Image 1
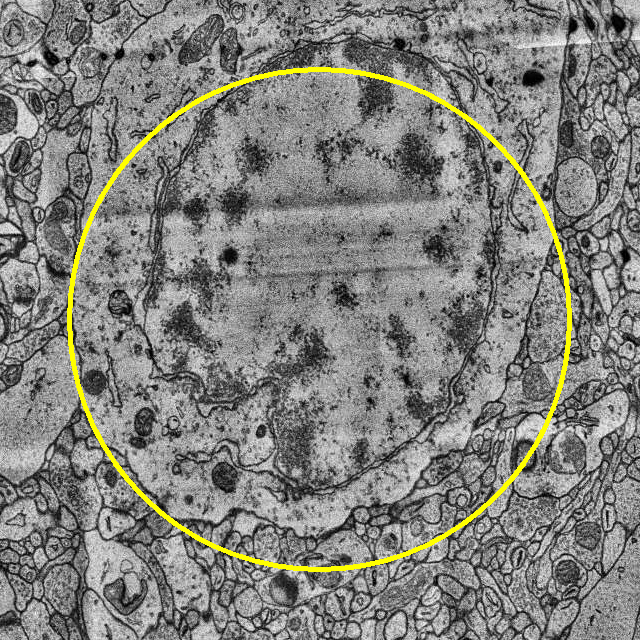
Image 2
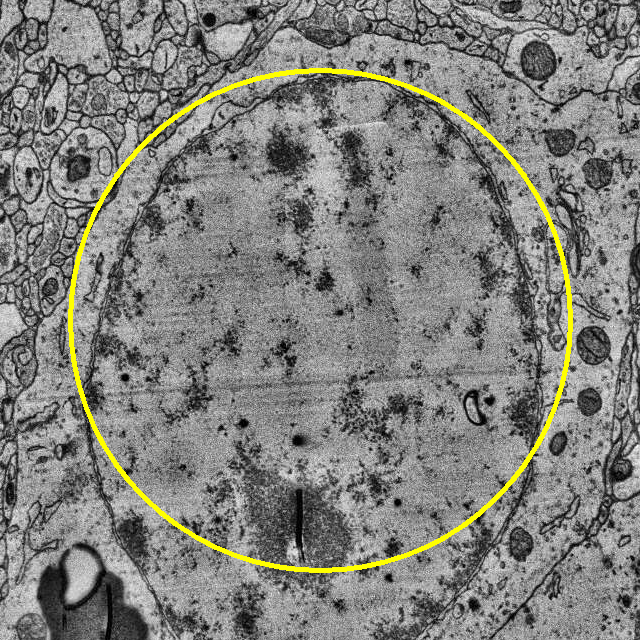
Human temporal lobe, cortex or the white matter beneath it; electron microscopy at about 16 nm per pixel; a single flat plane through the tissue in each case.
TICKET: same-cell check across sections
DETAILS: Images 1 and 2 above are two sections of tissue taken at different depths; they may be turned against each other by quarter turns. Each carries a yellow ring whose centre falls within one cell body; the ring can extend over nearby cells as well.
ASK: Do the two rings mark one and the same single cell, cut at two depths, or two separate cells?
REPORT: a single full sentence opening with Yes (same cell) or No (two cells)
Yes, a single cell is marked twice, once by each yellow ring.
